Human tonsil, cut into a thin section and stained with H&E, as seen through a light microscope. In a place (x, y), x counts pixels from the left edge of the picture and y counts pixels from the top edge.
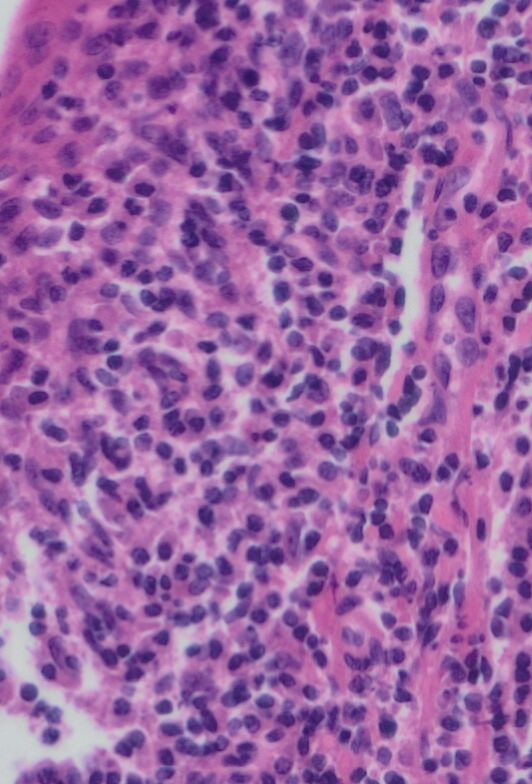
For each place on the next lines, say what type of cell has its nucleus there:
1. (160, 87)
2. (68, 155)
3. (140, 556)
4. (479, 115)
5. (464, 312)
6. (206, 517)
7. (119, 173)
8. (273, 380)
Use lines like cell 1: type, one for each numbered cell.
cell 1: squamous epithelial cell
cell 2: squamous epithelial cell
cell 3: plasma cell
cell 4: endothelial cell
cell 5: endothelial cell
cell 6: plasma cell
cell 7: squamous epithelial cell
cell 8: plasma cell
